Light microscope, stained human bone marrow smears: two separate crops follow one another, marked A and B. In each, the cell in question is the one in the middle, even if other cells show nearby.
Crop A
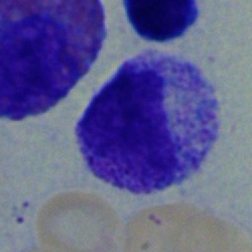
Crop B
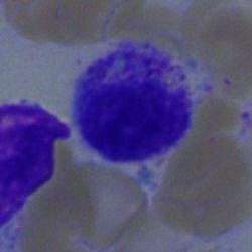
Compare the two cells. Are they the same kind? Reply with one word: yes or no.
yes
